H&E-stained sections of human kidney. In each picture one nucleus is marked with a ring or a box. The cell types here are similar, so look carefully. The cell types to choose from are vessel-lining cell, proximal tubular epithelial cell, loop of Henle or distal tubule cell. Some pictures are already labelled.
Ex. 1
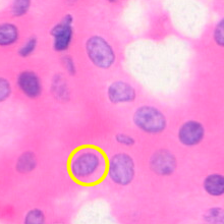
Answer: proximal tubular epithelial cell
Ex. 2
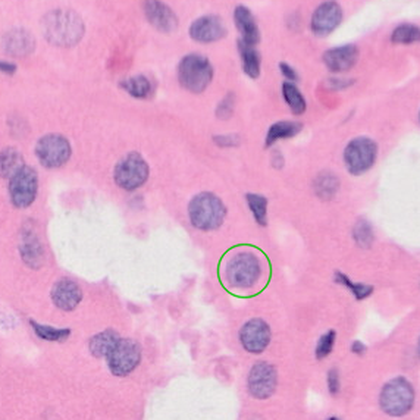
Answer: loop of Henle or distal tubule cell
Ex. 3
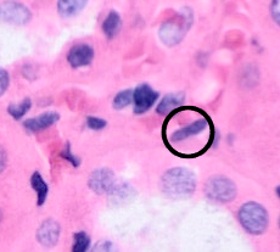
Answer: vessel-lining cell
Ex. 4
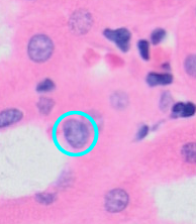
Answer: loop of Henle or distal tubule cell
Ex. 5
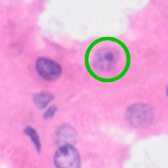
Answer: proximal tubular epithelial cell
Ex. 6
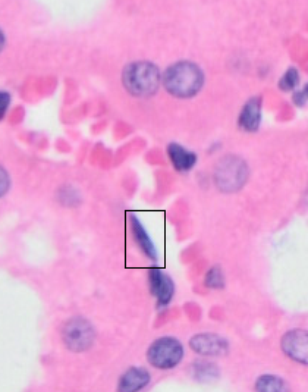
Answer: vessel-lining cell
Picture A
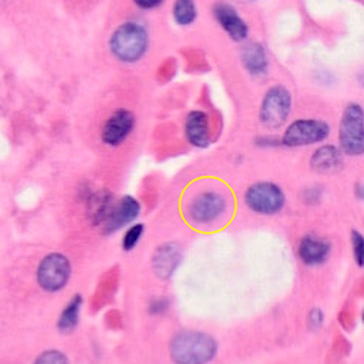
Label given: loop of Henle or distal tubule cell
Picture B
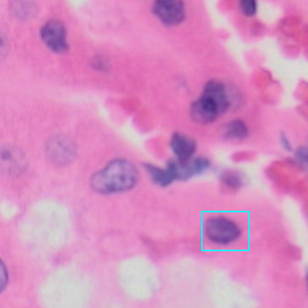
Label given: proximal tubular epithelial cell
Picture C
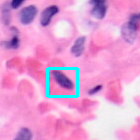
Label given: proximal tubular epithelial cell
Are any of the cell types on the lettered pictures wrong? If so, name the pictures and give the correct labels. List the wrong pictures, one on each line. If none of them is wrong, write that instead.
Wrong: C (proximal tubular epithelial cell); correct: vessel-lining cell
